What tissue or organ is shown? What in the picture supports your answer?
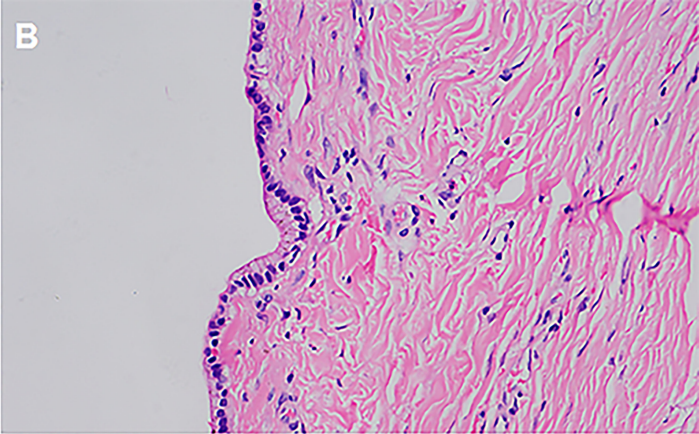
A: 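One row of cells lines the surface that faces the empty space on the left. The lining cells are cuboidal to low columnar. Beneath the lining lies thick pink fibrous tissue.
Conclusion: single layer of cuboidal/columnar epithelium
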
